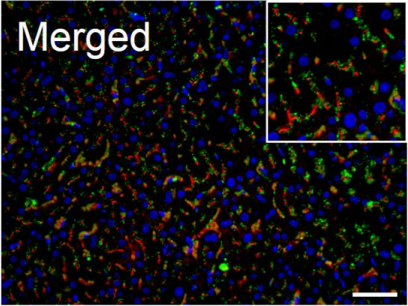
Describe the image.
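This is liver seen at moderate magnification, with hepatocytes shown mainly by their round blue nuclei arranged in plates. Between neighbouring cells run thin, short, branching red lines, the bile canaliculi, forming a fine network across the field. Small green dots cluster tightly along these red lines, so much of the pattern appears as paired red and green streaks with yellow overlap. The cytoplasm away from the canaliculi is largely dark. A few brighter green spots stand out here and there. The inset enlarges the canalicular streaks with their flanking green granules.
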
